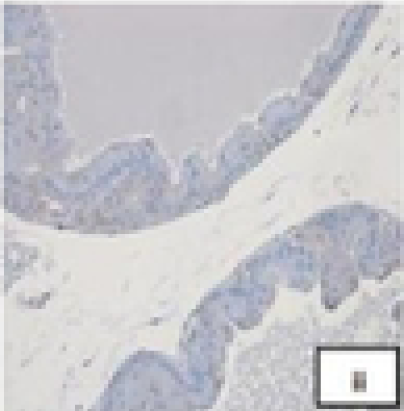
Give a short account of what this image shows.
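The epithelial lining is thick and thrown into many folds and papillary projections that bulge into the lumens. Epithelial nuclei are crowded and stain blue, with a faint brownish tint over the epithelium. The lumens hold pale secretion, and one holds granular material. Loose pale stroma with scattered small nuclei separates the glands.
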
